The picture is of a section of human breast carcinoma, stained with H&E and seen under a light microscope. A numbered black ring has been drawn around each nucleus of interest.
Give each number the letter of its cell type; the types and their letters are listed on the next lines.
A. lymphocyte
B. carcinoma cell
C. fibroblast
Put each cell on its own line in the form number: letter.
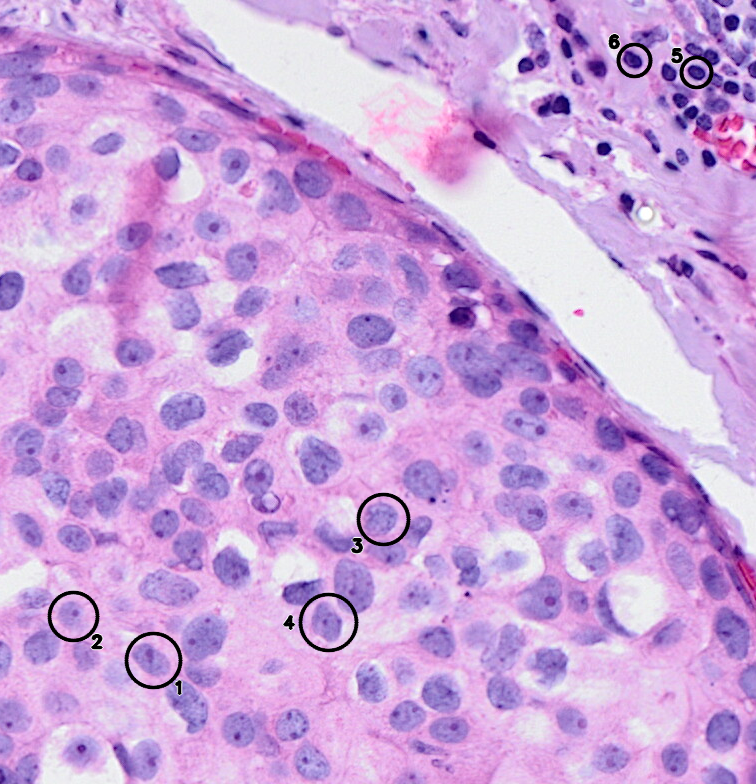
1: B
2: B
3: B
4: B
5: A
6: A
